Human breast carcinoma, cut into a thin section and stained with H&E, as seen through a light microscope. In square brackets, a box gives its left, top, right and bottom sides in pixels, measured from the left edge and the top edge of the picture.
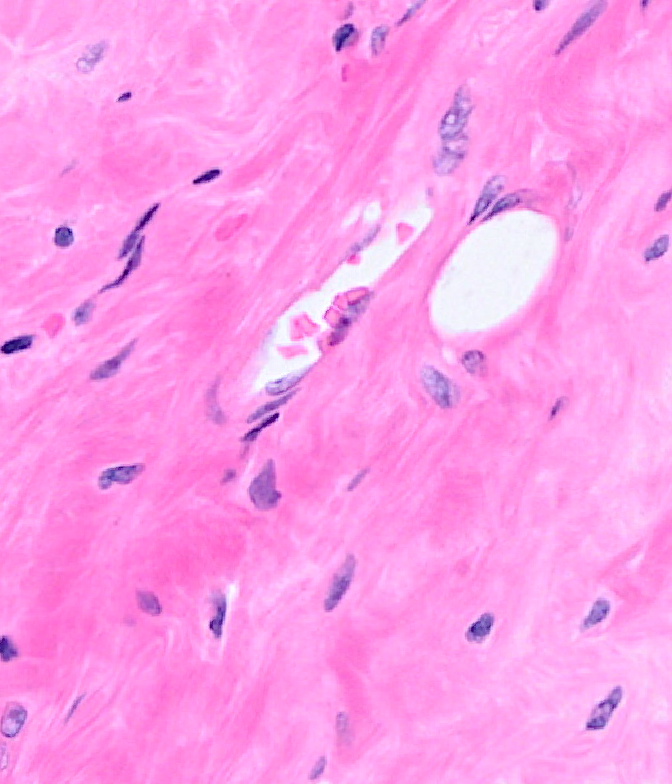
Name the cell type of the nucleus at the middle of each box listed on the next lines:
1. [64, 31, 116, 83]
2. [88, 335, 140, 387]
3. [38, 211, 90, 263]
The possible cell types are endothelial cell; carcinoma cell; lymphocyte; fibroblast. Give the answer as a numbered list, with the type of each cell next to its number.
1. fibroblast
2. fibroblast
3. lymphocyte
